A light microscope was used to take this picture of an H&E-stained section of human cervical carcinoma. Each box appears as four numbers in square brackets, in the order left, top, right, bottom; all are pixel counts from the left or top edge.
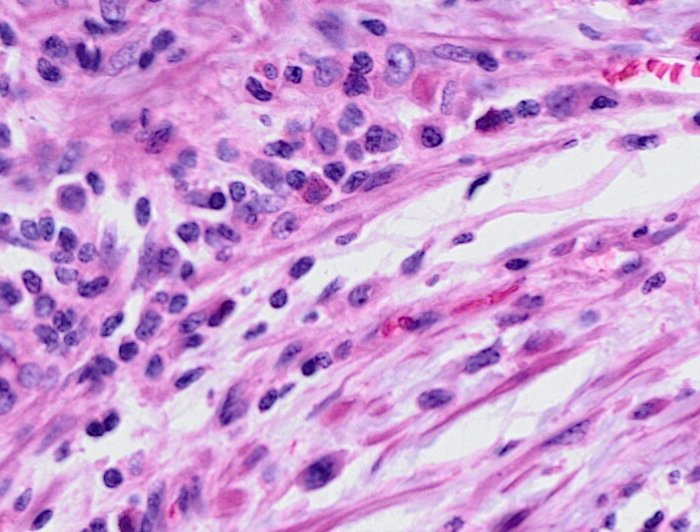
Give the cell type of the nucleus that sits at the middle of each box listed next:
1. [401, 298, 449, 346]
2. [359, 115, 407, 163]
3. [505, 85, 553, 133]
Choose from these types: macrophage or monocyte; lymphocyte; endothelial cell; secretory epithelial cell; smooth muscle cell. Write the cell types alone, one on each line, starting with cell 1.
endothelial cell
macrophage or monocyte
lymphocyte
